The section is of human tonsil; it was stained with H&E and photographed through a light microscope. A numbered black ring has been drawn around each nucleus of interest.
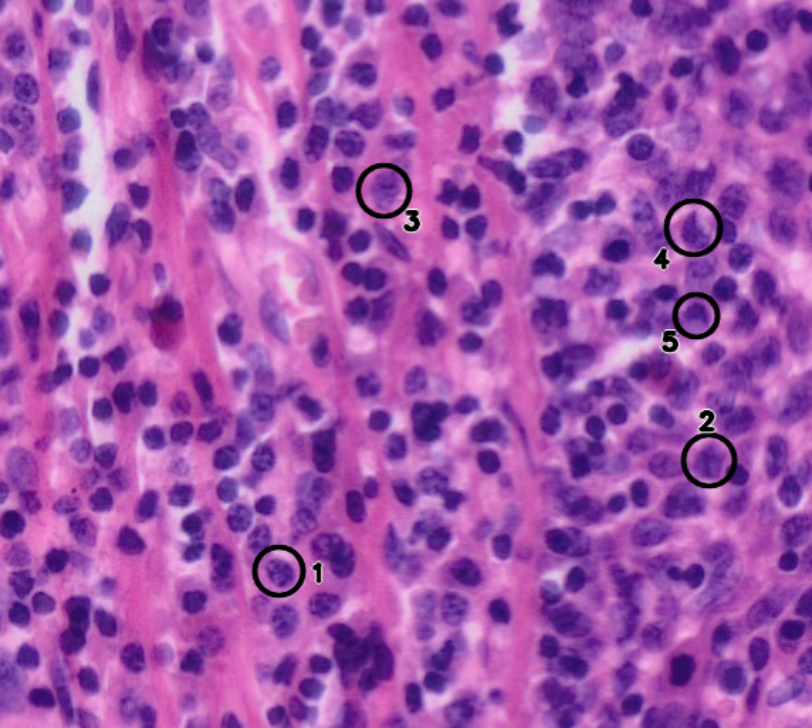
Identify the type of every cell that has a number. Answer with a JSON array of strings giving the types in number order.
["plasma cell", "squamous epithelial cell", "endothelial cell", "squamous epithelial cell", "squamous epithelial cell"]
